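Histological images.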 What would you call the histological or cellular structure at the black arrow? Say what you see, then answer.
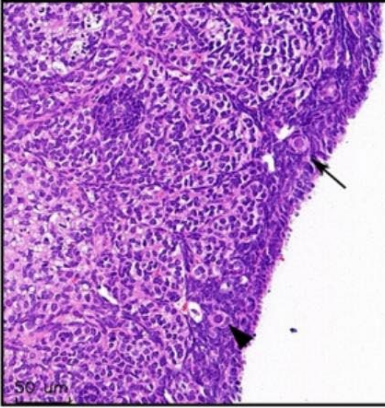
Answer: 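Primordial follicles. A small round oocyte lies near the outer surface.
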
